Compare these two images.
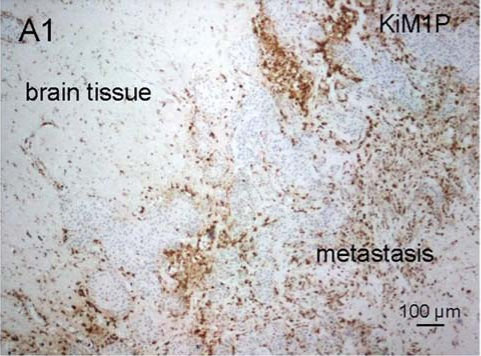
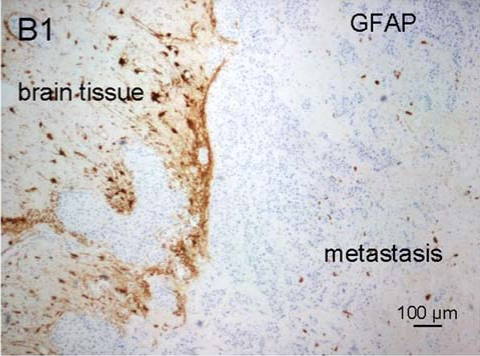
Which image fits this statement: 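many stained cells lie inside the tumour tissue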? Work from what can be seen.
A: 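The first image. First image: brown cells are scattered throughout the metastatic area. Second image: brown staining stops at the border, with only a few brown cells within the tumour.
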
